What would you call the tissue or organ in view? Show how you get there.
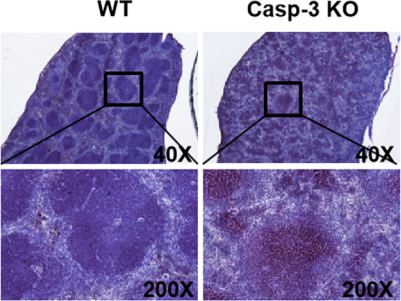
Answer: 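Spleen. Many rounded, densely purple nodules lie scattered through a paler background at low power. A smooth capsule edge bounds the section.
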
